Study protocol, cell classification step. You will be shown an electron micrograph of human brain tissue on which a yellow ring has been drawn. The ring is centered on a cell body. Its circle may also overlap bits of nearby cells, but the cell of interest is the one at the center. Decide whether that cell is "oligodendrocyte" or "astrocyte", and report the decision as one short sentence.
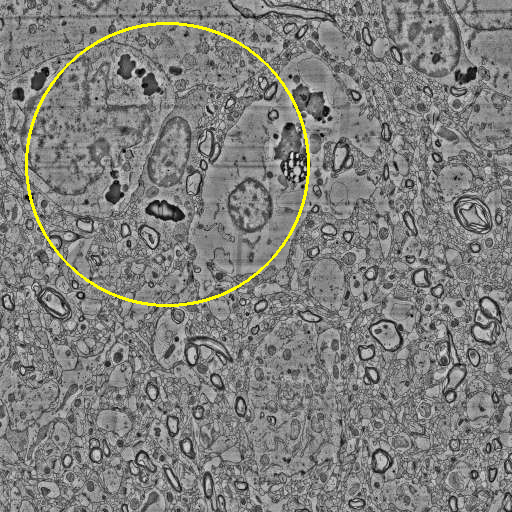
The marked cell is an oligodendrocyte.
